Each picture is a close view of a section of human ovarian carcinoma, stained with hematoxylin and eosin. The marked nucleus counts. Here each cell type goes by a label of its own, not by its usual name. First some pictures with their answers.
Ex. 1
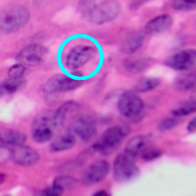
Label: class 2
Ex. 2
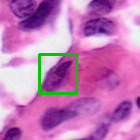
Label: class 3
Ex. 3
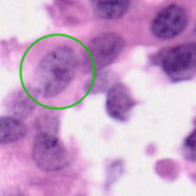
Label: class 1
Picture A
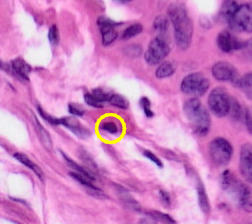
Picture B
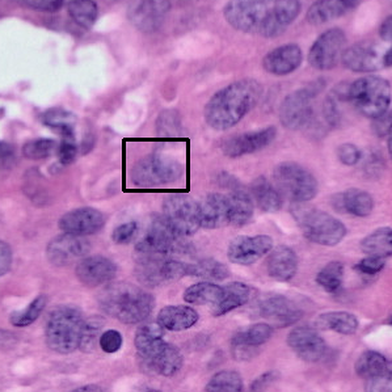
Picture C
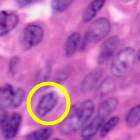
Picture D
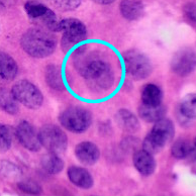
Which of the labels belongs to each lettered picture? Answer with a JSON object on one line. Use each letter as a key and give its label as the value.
{"A": "class 3", "B": "class 3", "C": "class 2", "D": "class 1"}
